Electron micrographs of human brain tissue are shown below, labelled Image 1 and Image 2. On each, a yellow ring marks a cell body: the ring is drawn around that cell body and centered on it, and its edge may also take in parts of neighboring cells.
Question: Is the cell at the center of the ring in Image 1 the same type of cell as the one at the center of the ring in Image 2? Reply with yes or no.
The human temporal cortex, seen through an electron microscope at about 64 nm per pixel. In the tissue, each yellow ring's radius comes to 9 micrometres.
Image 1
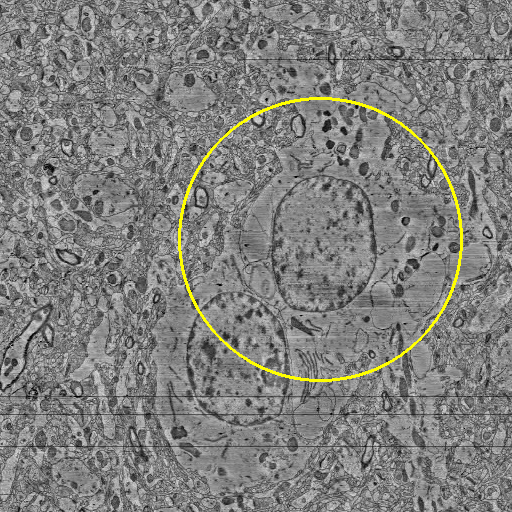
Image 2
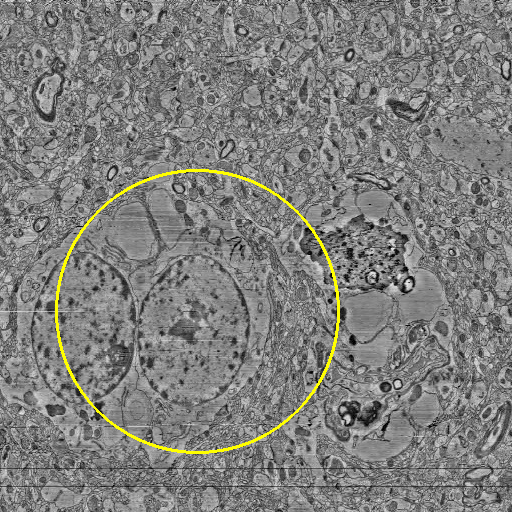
yes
